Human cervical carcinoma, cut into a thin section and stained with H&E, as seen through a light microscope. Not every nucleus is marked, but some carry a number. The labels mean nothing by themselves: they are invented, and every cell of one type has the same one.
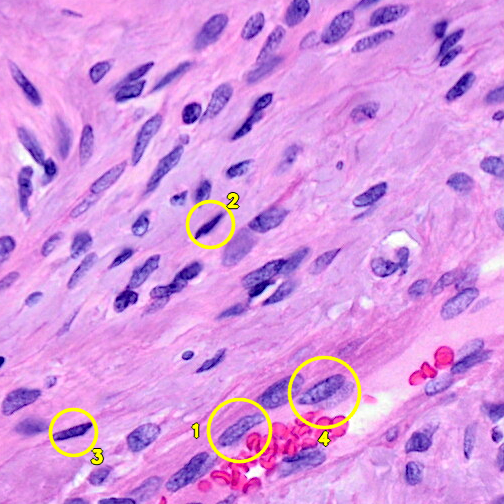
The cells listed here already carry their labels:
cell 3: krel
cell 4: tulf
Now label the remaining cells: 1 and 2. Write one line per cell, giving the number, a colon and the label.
1: tulf
2: krel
